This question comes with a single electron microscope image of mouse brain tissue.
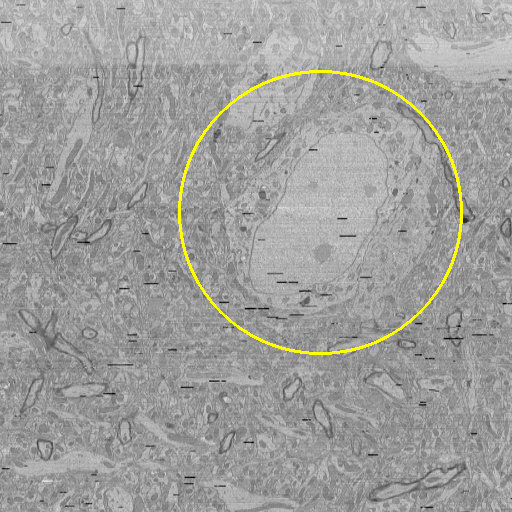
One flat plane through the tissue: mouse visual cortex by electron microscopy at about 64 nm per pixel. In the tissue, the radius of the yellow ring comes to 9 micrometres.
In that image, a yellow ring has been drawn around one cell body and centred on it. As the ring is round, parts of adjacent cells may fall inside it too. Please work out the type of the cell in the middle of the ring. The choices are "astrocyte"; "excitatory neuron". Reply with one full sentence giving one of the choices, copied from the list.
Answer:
Of the choices, an excitatory neuron is the cell sitting in the middle of the ring.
